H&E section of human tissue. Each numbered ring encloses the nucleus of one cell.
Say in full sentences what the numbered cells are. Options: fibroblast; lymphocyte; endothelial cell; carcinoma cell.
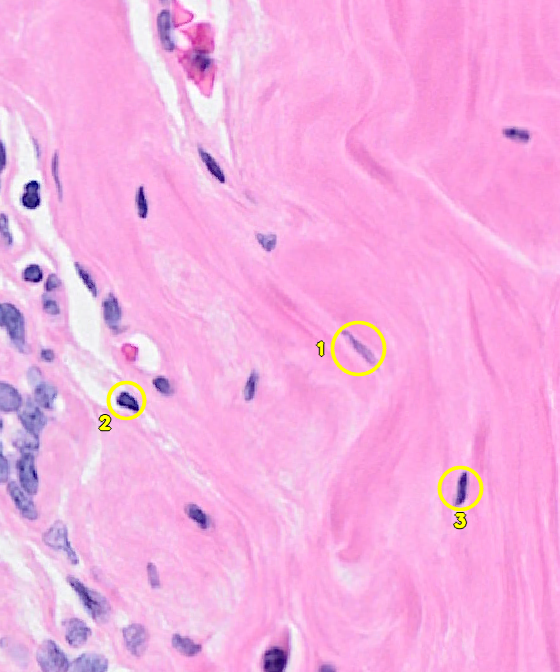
Cells 1 and 3 are fibroblasts. Cell 2 is a lymphocyte.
